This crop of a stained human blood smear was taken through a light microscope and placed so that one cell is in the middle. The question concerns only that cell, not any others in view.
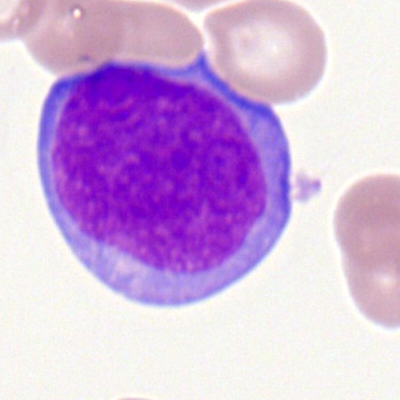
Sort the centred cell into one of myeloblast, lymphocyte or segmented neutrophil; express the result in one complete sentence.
To answer, the cell in the center of the crop is a myeloblast.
